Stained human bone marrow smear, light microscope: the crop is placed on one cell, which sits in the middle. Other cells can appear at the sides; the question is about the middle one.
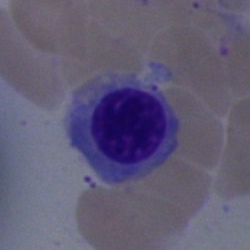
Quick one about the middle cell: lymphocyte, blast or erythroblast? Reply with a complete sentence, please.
Located at the centre of the crop is an erythroblast.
